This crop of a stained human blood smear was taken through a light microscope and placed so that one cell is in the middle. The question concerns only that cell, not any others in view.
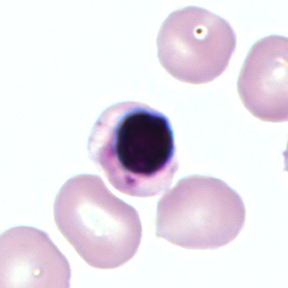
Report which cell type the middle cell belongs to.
normoblast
